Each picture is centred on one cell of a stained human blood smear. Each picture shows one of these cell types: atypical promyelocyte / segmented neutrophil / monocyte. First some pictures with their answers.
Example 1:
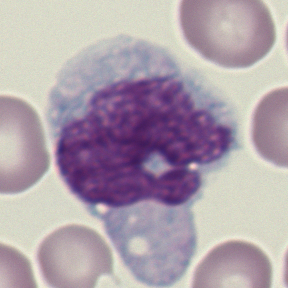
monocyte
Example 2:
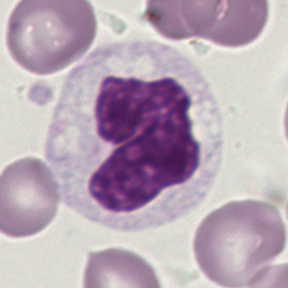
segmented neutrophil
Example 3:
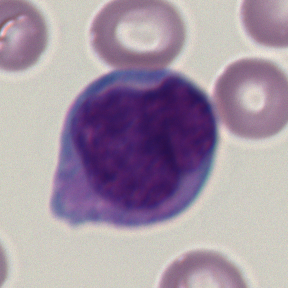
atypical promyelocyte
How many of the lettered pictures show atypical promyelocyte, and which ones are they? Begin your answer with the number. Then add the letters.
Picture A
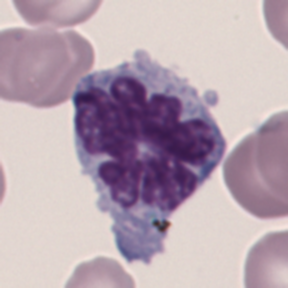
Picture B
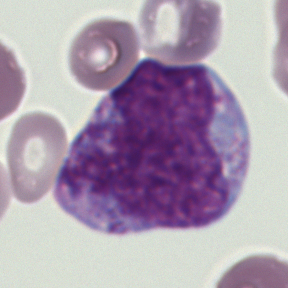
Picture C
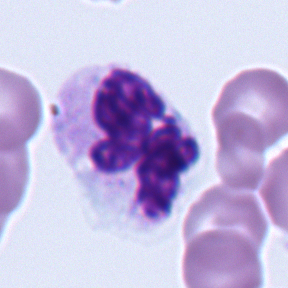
1: B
